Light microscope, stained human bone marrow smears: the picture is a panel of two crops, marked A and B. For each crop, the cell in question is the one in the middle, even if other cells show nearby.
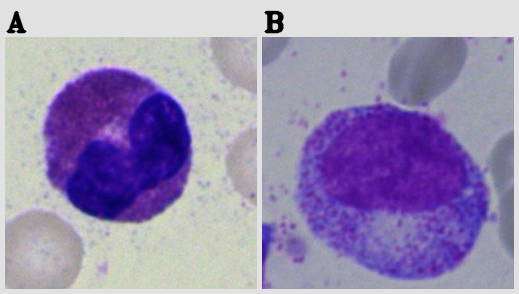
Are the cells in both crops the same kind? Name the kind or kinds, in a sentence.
No, it is an eosinophil that crop A shows, and a myelocyte that crop B shows.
